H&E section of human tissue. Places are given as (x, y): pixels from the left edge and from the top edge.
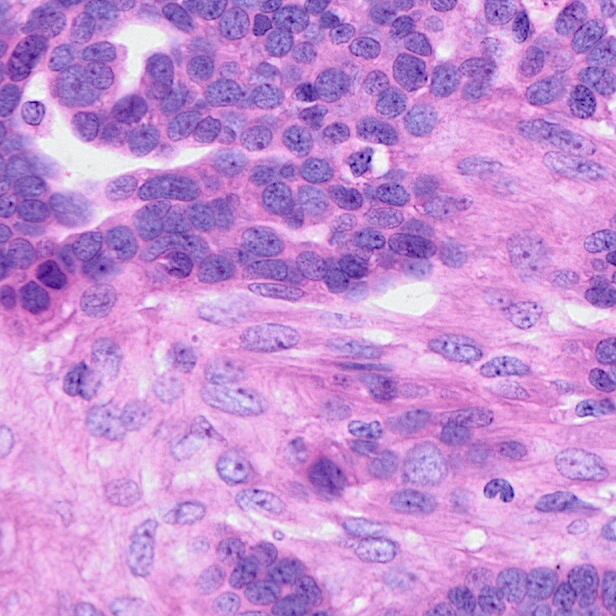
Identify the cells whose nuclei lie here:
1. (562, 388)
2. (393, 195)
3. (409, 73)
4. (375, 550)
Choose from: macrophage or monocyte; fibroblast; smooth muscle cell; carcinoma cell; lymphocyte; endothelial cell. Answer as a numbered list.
1. fibroblast
2. carcinoma cell
3. carcinoma cell
4. fibroblast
